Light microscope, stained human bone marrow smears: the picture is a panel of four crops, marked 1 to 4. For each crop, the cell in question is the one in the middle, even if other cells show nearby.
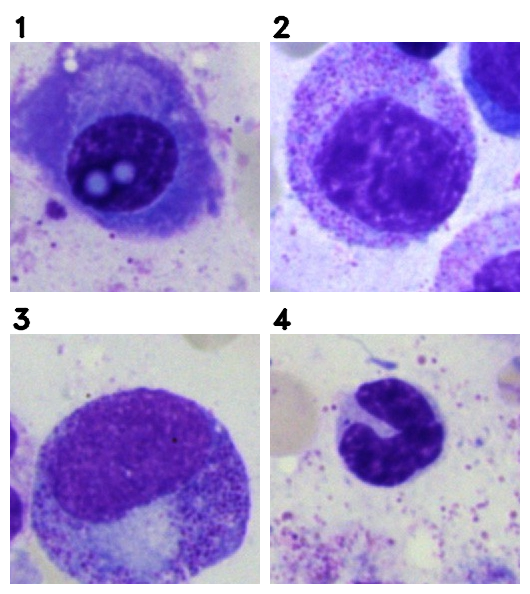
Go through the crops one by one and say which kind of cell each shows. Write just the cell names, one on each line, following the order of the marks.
plasma cell
myelocyte
promyelocyte
band neutrophil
